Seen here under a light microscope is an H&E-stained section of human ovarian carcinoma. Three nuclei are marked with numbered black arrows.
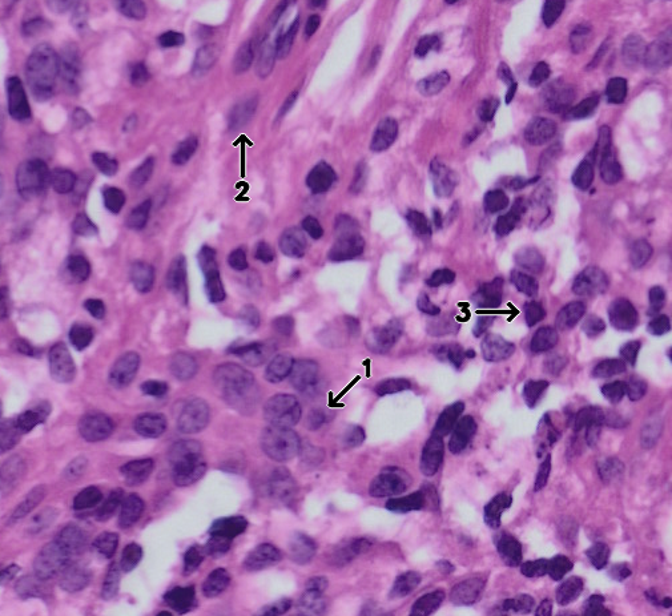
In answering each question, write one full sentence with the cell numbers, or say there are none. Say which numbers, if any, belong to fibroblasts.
Only the cell numbered 2 is a fibroblast, and the others are something else.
